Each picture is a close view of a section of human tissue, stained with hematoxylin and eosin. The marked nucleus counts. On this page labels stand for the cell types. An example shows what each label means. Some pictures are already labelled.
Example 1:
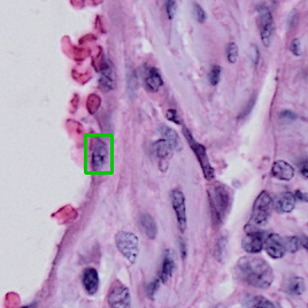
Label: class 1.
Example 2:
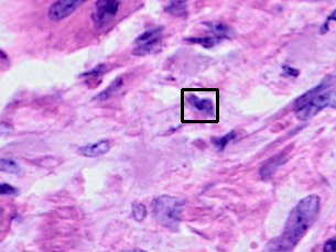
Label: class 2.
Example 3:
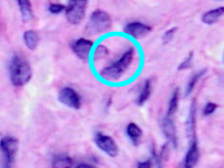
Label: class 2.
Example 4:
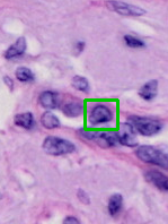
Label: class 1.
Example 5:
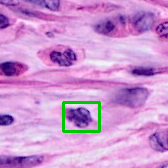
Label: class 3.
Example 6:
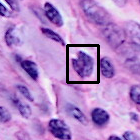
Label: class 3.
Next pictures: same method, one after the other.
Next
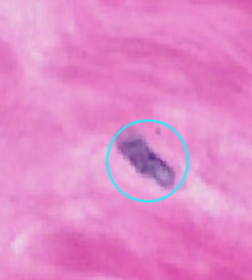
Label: class 2.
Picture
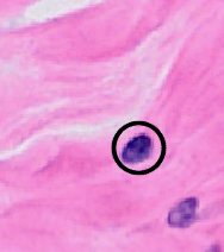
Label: class 3.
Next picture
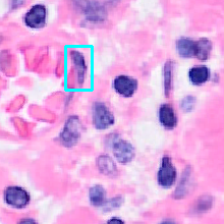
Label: class 1.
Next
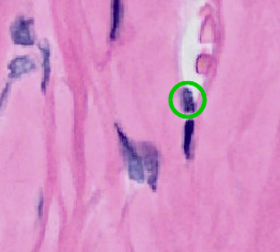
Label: class 1.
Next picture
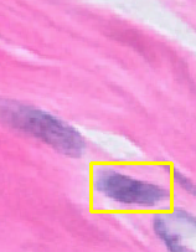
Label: class 1.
